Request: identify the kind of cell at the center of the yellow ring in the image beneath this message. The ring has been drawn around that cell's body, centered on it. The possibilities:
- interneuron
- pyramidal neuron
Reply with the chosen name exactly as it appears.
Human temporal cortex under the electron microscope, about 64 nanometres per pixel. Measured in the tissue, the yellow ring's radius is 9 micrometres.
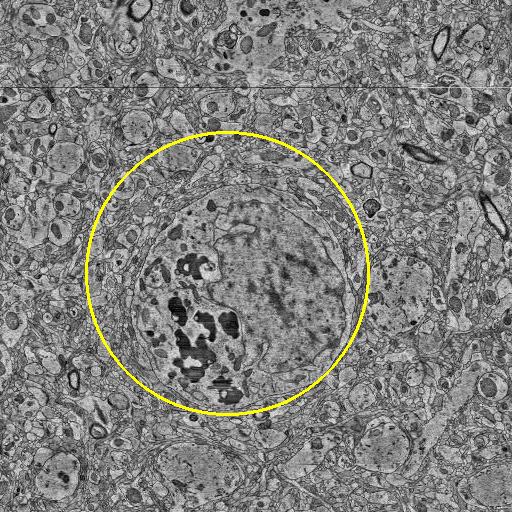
interneuron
